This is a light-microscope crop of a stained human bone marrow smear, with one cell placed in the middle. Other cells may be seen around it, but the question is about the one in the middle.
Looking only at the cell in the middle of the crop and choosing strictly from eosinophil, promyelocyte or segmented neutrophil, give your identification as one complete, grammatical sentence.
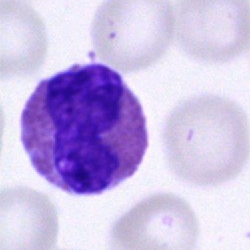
The cell at the middle of the crop is recognized as an eosinophil.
